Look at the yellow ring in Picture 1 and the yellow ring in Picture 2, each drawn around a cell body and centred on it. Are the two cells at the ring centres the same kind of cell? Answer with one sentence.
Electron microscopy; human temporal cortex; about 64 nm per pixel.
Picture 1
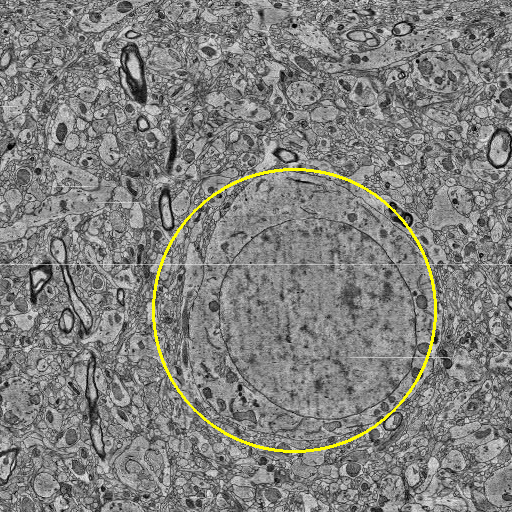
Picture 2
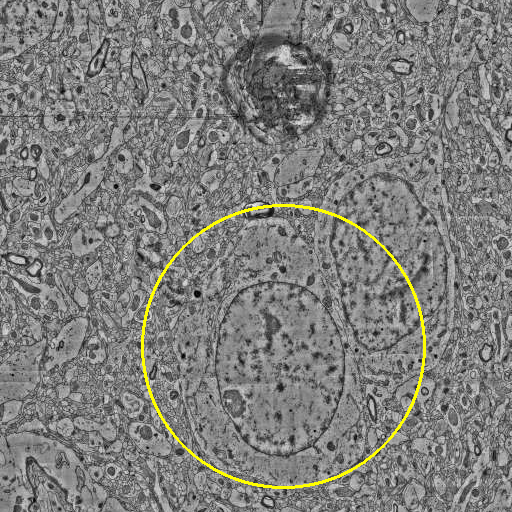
Yes, both are the same kind of cell.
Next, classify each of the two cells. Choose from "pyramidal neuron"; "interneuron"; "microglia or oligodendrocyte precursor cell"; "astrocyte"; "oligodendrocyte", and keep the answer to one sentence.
Each one of the two ringed cells is a pyramidal neuron.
